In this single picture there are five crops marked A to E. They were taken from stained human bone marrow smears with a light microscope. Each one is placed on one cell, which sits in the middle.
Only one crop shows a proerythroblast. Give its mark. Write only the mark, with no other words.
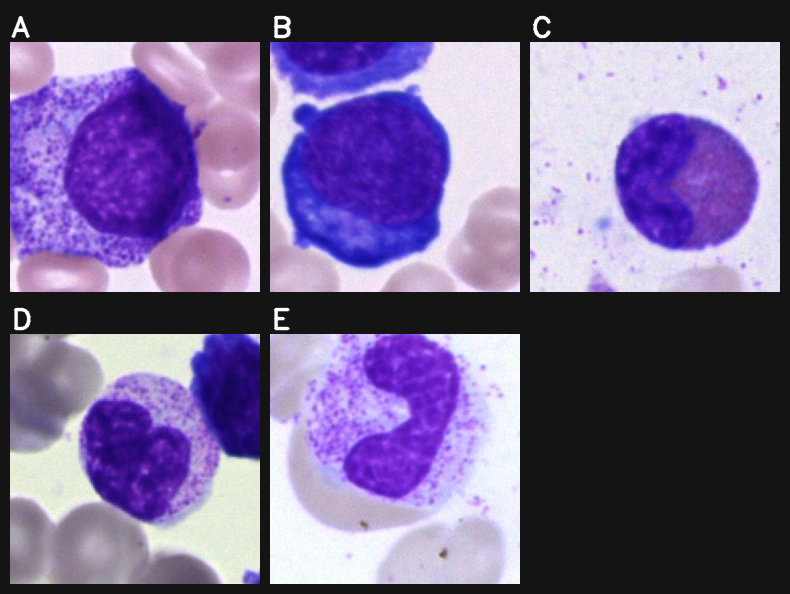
B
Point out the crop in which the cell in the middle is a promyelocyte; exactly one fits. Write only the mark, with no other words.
A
